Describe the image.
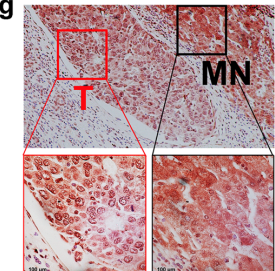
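A tissue section shows a crowded nodule of large polygonal cells with big rounded nuclei on the left, separated by a band of loose pale stroma from more orderly cords of cells on the right. In the left enlargement the crowded cells have nuclei that are stained darker brown than their cytoplasm, whereas in the right enlargement the brown lies more evenly through the cytoplasm of the cells.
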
